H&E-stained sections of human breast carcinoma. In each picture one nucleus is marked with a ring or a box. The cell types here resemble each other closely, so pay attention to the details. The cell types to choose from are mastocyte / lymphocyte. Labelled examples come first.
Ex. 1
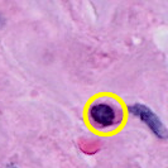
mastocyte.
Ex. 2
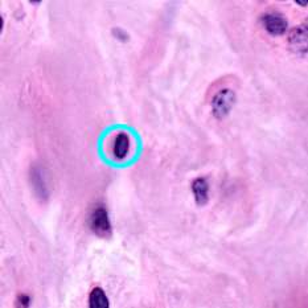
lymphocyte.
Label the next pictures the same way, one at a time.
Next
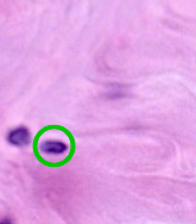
lymphocyte.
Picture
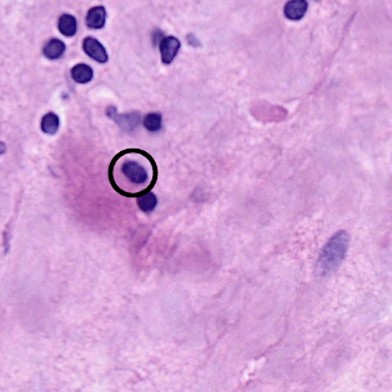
lymphocyte.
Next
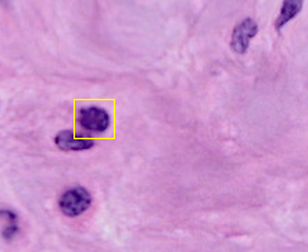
lymphocyte.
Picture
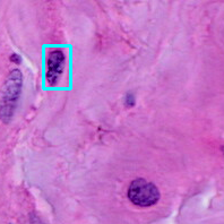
mastocyte.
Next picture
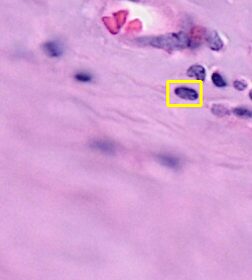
lymphocyte.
